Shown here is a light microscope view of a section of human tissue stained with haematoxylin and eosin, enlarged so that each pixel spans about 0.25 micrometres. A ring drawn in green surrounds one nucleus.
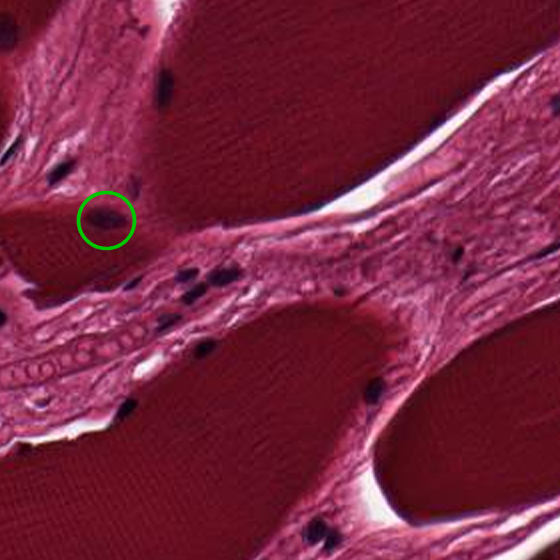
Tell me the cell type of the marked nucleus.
skeletal muscle fibre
